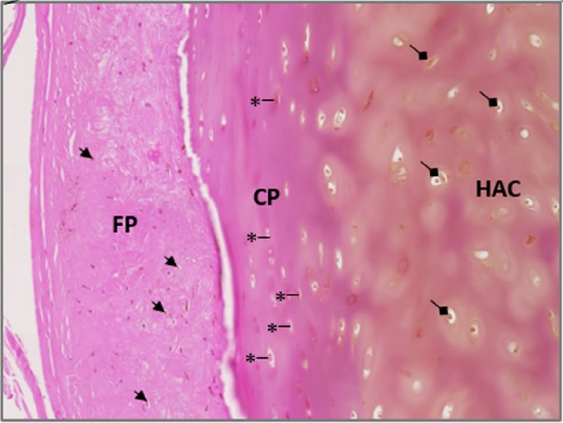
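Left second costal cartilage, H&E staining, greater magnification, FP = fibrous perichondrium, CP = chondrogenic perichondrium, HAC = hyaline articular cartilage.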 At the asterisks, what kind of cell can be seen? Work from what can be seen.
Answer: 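Chondroblasts. The marked cells lie in the smooth middle band between the fibrous layer and the cartilage. They are small and flattened, parallel to the surface.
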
